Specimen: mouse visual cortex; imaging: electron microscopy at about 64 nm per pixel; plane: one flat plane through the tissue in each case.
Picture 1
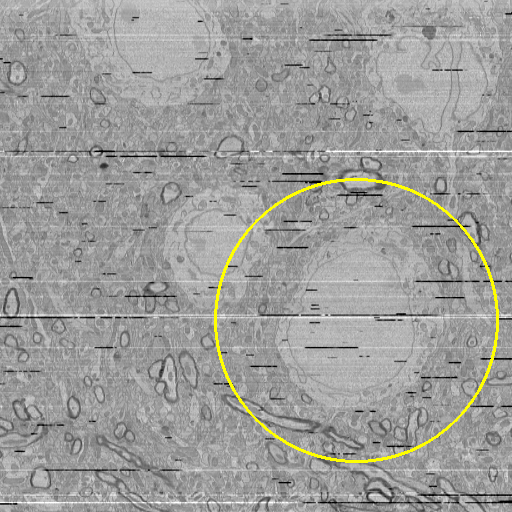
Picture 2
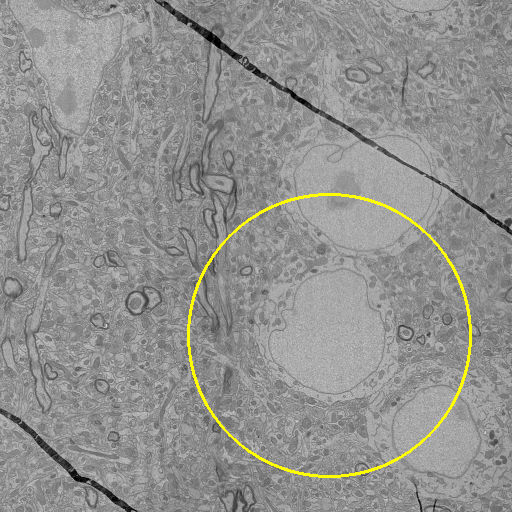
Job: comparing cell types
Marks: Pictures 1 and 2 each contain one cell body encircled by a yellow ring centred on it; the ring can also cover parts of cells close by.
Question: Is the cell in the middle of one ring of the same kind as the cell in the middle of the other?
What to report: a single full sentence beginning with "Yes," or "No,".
Yes, the cell at the ring centre in Picture 1 and its partner in Picture 2 are of one kind.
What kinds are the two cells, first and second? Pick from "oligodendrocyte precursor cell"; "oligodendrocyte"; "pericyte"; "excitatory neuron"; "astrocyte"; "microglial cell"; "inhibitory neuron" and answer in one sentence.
The ring centre holds an excitatory neuron in each of the two pictures.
